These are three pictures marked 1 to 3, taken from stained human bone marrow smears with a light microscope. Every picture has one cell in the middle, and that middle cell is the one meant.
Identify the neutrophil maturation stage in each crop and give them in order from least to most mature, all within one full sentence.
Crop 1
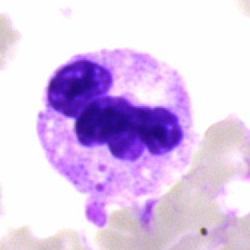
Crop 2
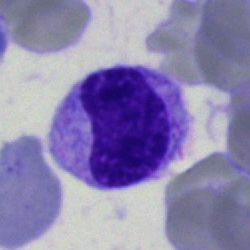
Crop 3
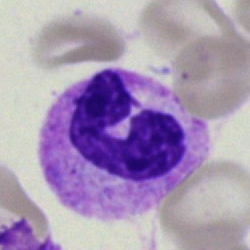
Placed in order of rising maturity, the crops stand as crop 2 (a metamyelocyte), crop 3 (a band neutrophil) and crop 1 (a segmented neutrophil).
